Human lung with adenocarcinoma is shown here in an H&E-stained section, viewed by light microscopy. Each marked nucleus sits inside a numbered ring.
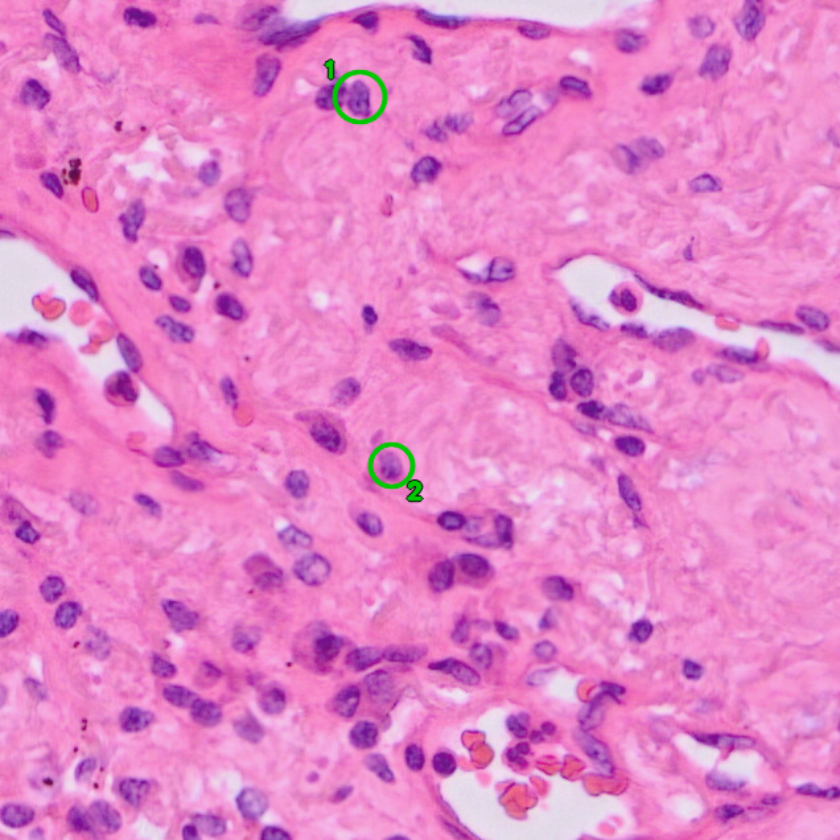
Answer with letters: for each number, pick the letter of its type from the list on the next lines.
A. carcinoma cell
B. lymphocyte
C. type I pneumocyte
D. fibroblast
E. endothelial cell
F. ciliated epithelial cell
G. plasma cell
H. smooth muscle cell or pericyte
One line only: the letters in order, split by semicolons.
B; G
